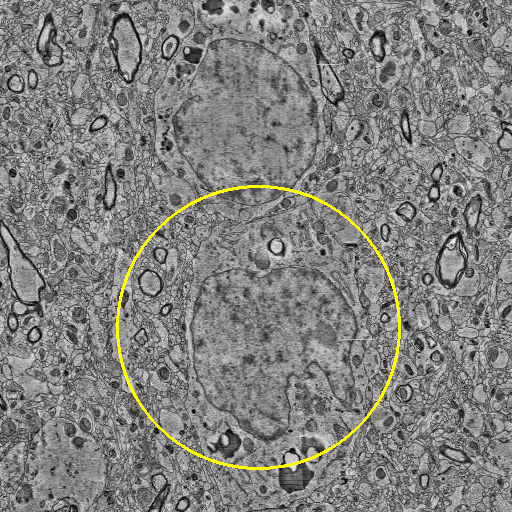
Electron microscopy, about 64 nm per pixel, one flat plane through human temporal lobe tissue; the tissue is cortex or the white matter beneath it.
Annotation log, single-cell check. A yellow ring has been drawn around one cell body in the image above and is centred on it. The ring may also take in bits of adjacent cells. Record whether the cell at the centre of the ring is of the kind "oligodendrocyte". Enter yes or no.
no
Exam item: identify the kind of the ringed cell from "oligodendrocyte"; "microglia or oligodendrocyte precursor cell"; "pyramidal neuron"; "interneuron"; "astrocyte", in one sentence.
In this picture, the ring is centred on an interneuron.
